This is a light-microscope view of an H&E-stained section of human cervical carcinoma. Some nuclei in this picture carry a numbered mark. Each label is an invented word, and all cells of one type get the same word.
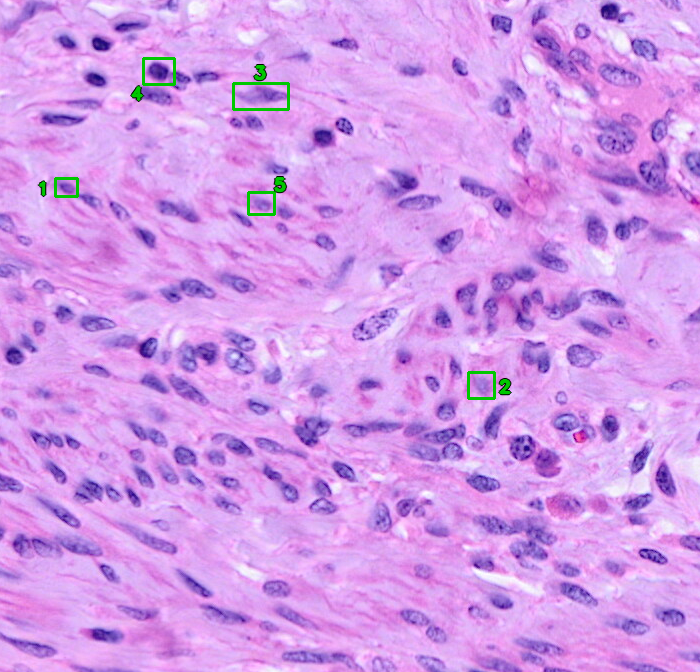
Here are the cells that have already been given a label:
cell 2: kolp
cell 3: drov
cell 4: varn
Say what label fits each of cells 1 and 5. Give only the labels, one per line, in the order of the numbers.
kolp
kolp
